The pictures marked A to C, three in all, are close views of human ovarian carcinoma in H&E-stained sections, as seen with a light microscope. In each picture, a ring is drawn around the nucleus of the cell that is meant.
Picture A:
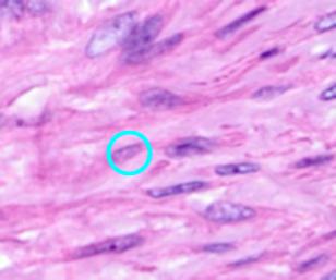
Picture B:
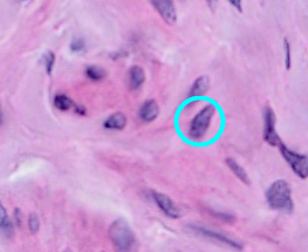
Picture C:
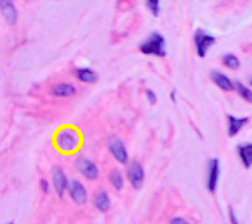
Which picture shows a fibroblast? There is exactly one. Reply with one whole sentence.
It is picture A that shows the fibroblast.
